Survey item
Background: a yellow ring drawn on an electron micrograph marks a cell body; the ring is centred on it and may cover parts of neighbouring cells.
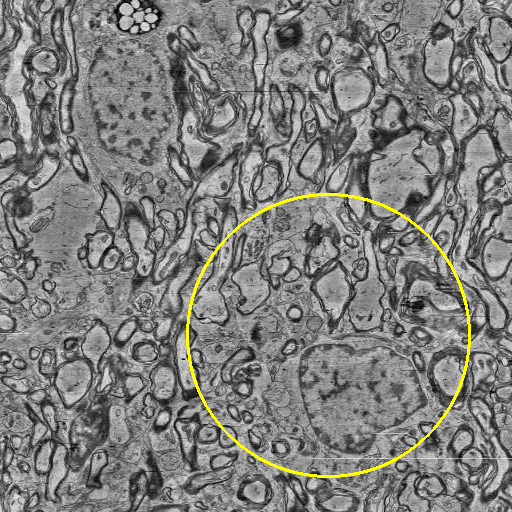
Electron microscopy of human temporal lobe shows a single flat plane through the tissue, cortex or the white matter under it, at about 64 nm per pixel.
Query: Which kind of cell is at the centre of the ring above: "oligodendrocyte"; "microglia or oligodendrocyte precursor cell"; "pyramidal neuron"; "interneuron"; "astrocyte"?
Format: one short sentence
The cell in the middle of the ring is a microglial cell or oligodendrocyte precursor cell.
